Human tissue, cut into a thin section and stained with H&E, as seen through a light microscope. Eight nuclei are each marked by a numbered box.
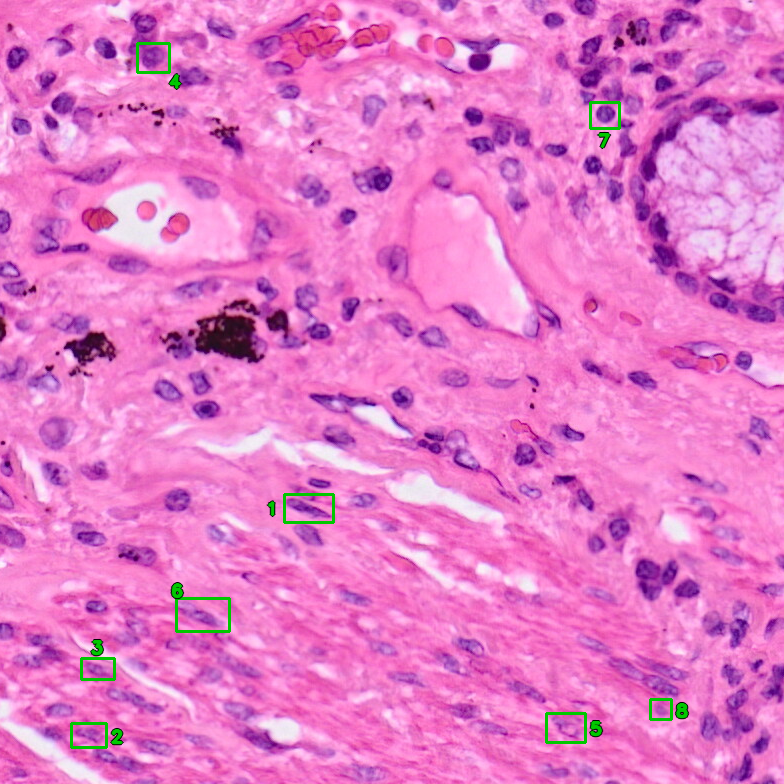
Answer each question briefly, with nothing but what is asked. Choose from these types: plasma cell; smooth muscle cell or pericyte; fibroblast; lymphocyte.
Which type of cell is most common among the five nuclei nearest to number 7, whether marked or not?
plasma cell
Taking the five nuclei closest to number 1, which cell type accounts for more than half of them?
smooth muscle cell or pericyte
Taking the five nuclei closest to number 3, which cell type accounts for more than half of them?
smooth muscle cell or pericyte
